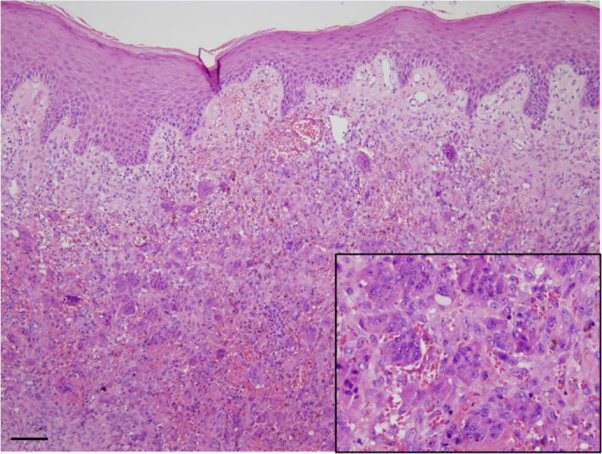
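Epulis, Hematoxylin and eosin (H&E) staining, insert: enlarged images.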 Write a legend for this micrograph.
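Beneath an intact stratified squamous epithelium the stroma contains nodules of multinucleated osteoclast-like cells, large cells with many clustered dark nuclei and pink cytoplasm. They lie among plumper mononuclear stromal cells and abundant extravasated red blood cells, giving a haemorrhagic background.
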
